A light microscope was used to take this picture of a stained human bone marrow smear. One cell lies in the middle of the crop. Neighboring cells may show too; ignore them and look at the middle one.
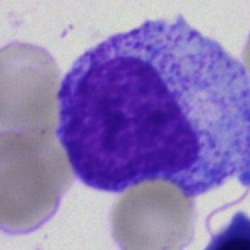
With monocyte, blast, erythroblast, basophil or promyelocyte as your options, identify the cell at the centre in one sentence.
This crop has a promyelocyte at its centre.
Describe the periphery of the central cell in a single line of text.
The boundary of the cell runs irregularly, ragged in parts or drawn into projections.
